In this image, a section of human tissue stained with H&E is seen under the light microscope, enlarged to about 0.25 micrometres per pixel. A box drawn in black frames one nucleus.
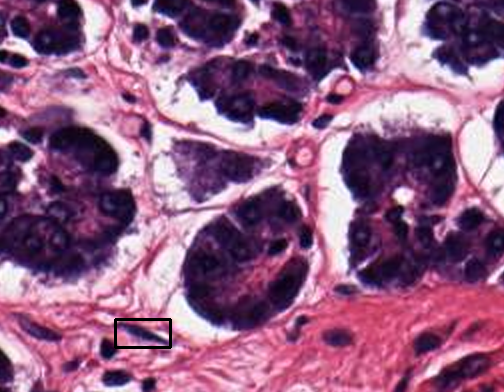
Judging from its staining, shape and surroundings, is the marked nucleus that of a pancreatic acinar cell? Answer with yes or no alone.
no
